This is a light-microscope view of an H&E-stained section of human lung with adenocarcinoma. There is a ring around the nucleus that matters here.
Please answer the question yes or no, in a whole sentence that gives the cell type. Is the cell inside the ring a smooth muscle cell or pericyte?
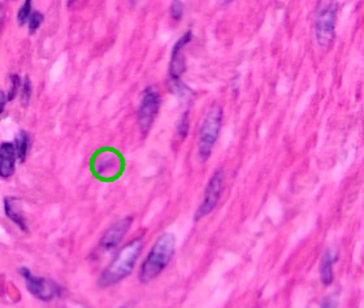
Yes, the claim that the cell inside the ring is a smooth muscle cell or pericyte holds true.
